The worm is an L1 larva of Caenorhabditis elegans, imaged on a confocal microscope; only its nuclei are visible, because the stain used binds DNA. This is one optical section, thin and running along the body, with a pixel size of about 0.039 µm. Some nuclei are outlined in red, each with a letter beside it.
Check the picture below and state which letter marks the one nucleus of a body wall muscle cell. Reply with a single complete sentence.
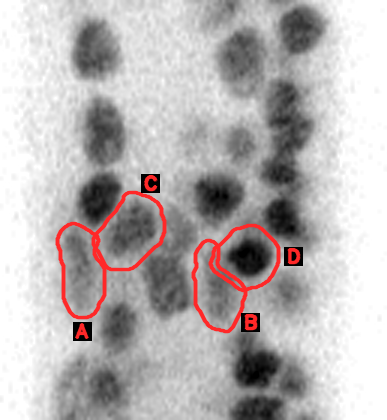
A is from a body wall muscle cell.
